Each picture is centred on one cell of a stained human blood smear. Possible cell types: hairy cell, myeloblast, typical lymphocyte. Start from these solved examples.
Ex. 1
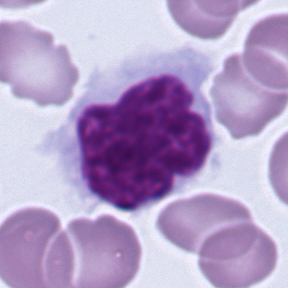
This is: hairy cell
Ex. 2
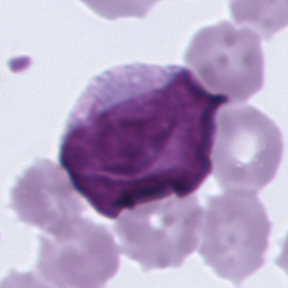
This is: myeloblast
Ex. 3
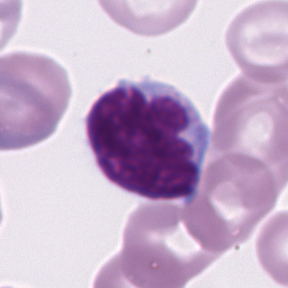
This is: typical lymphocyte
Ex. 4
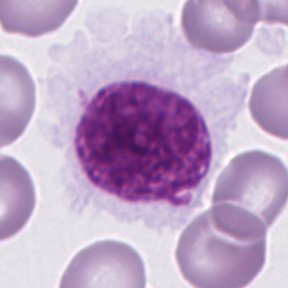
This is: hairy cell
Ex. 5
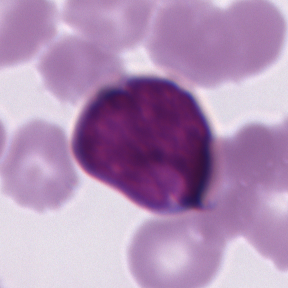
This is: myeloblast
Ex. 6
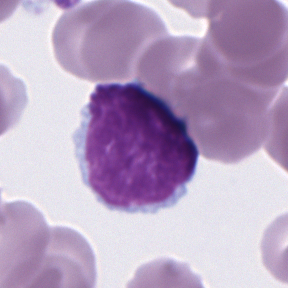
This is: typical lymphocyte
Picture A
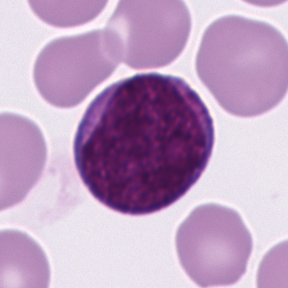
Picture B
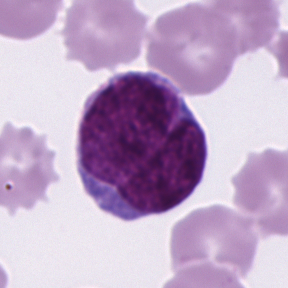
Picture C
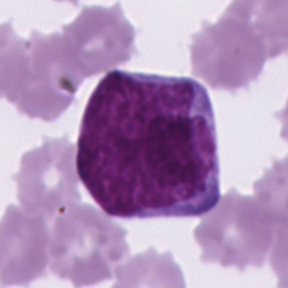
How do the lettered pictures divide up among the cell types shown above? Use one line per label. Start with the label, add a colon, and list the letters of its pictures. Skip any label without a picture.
myeloblast: A, B, C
